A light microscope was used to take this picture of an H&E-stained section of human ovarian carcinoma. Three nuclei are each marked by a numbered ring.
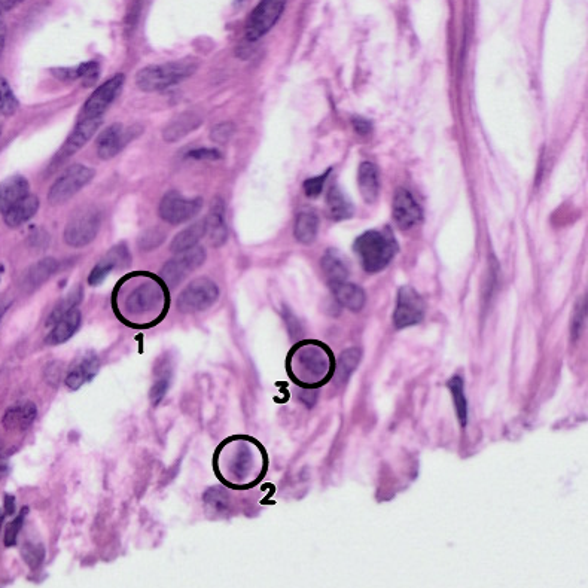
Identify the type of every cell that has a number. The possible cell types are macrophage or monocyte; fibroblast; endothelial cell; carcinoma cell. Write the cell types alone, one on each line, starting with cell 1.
carcinoma cell
fibroblast
carcinoma cell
